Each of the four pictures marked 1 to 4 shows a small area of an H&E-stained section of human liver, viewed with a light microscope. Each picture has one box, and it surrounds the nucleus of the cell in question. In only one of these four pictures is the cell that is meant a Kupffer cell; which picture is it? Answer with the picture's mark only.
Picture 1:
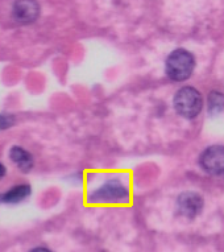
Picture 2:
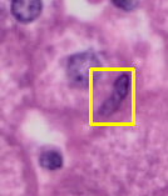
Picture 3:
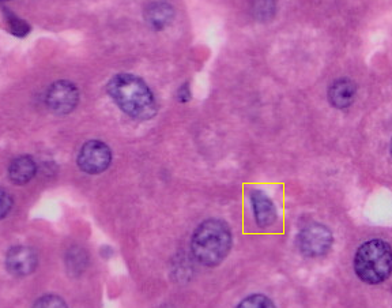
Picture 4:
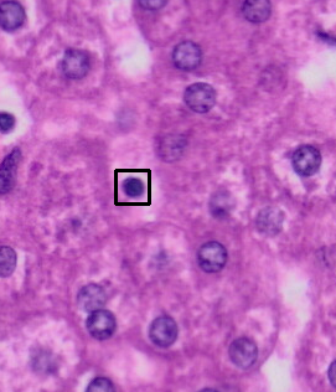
2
